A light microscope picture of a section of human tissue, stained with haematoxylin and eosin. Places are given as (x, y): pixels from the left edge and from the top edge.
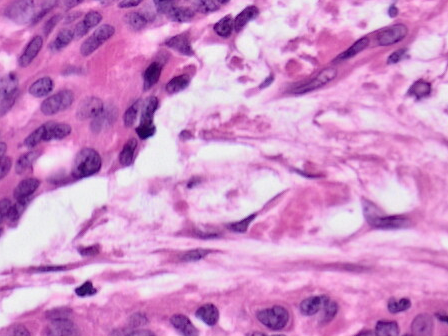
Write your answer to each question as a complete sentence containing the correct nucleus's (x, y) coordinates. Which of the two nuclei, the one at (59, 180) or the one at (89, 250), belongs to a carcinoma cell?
The nucleus of a carcinoma cell lies at (59, 180), not at the other position.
